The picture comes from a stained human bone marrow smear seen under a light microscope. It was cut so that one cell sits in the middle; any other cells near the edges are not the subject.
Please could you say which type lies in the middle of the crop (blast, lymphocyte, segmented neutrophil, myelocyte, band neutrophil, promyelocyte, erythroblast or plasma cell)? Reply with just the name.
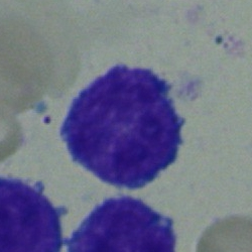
blast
